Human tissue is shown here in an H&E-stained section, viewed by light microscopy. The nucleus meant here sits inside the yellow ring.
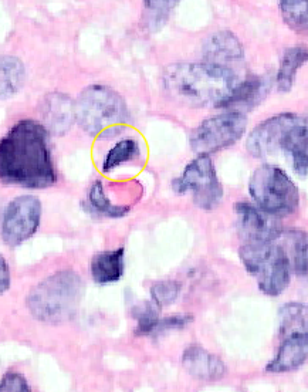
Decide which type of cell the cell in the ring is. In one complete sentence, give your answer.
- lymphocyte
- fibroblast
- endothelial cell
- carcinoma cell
So far as cell type goes, the cell in the ring is an endothelial cell.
